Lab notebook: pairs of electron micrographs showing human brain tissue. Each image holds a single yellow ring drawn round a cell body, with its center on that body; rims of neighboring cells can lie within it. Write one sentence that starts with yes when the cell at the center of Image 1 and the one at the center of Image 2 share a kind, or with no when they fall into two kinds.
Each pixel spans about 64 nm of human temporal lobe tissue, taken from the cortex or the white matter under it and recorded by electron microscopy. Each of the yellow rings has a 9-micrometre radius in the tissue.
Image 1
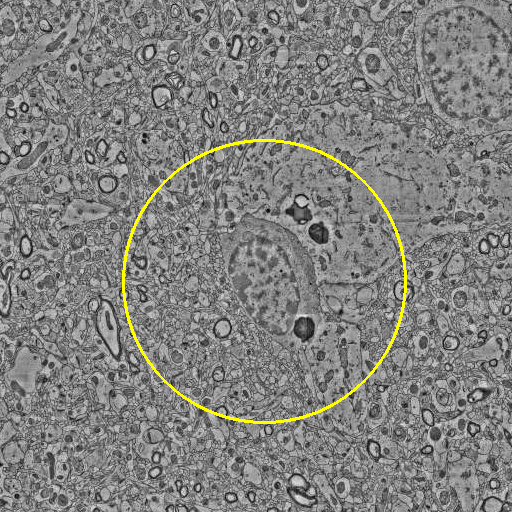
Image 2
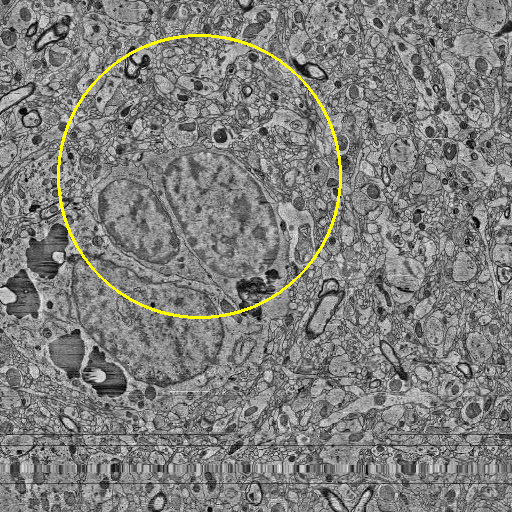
Yes, the centered cell in Image 1 and the centered cell in Image 2 are of one kind.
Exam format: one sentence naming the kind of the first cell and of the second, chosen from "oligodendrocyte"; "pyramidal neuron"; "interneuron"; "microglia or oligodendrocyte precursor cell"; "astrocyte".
Each of the two cells is an oligodendrocyte.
